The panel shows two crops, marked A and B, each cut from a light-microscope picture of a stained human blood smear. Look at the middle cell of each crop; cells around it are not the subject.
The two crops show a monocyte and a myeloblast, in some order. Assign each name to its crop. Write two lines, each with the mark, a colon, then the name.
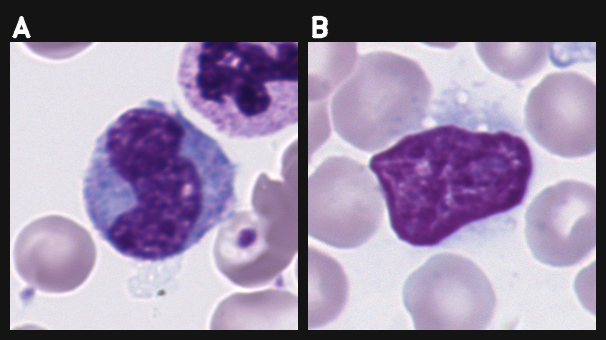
A: monocyte
B: myeloblast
